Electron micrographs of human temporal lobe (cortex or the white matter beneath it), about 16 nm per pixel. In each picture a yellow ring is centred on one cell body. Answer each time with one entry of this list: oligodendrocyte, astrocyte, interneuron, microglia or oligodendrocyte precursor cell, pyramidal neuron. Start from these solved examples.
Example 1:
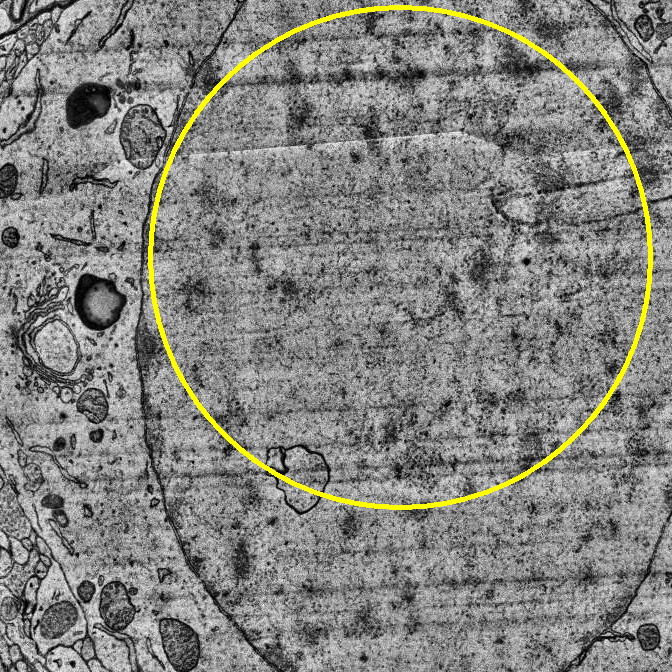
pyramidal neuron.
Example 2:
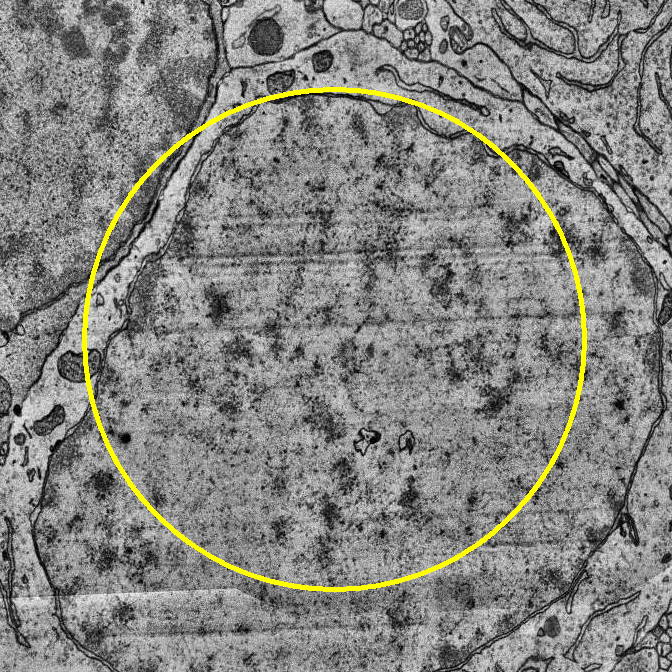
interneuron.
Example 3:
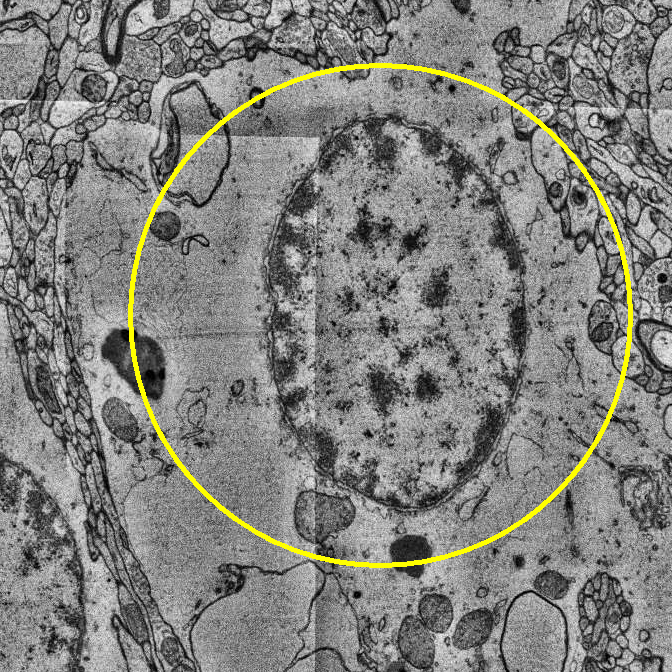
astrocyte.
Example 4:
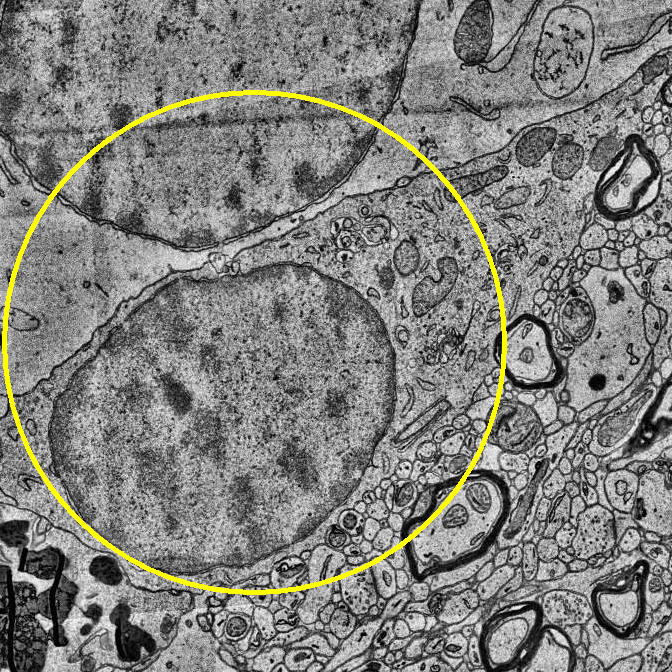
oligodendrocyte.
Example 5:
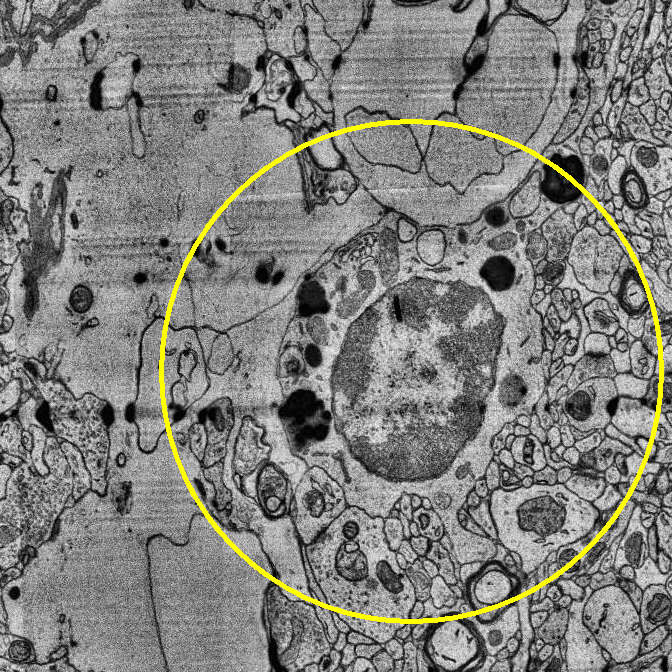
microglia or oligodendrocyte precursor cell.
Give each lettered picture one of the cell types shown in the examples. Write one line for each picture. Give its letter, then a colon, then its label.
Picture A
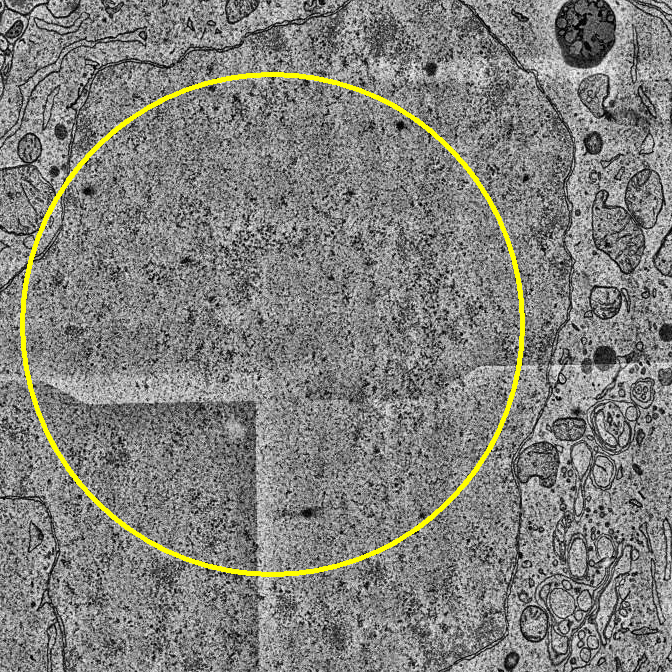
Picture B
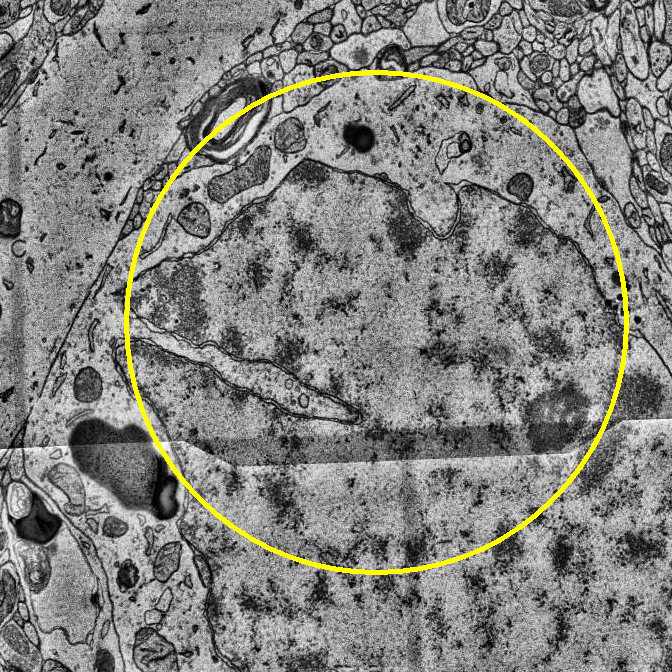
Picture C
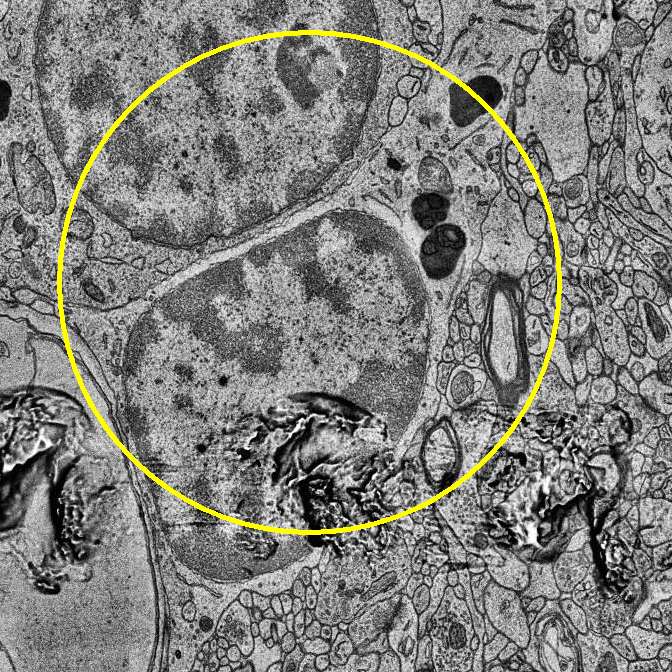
A: interneuron.
B: interneuron.
C: microglia or oligodendrocyte precursor cell.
